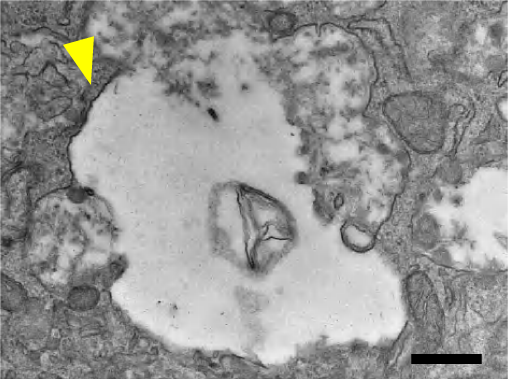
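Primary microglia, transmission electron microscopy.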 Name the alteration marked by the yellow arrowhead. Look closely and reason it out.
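Defective lysosomes. A very large, irregular, electron-lucent compartment occupies the field. Only sparse membranous fragments lie within it.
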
